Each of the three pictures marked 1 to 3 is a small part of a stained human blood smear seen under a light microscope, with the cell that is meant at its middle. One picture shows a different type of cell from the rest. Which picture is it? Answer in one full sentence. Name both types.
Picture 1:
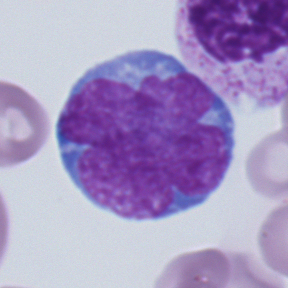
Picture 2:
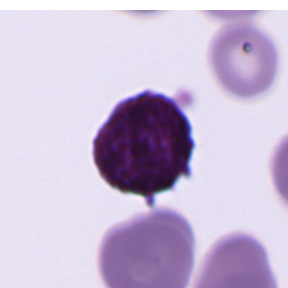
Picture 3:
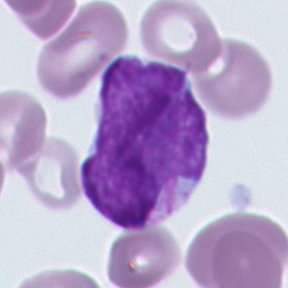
The others show myeloblasts, but picture 3 shows an atypical promyelocyte.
